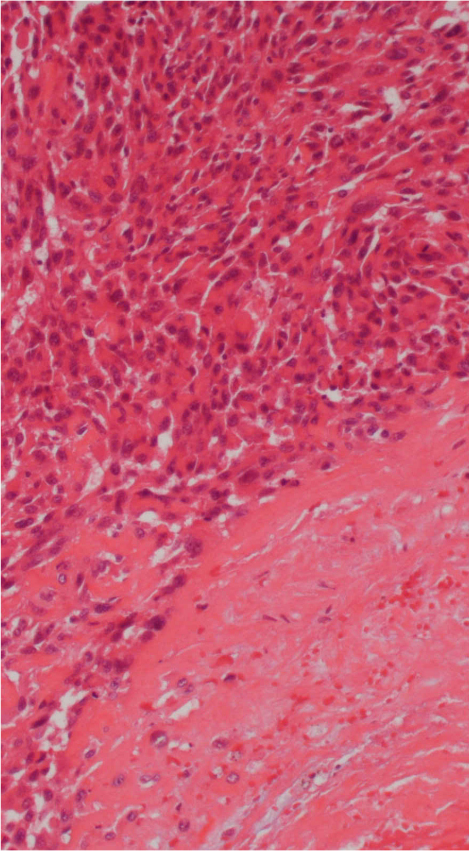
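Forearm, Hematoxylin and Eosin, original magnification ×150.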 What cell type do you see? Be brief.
atypical epithelioid cells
